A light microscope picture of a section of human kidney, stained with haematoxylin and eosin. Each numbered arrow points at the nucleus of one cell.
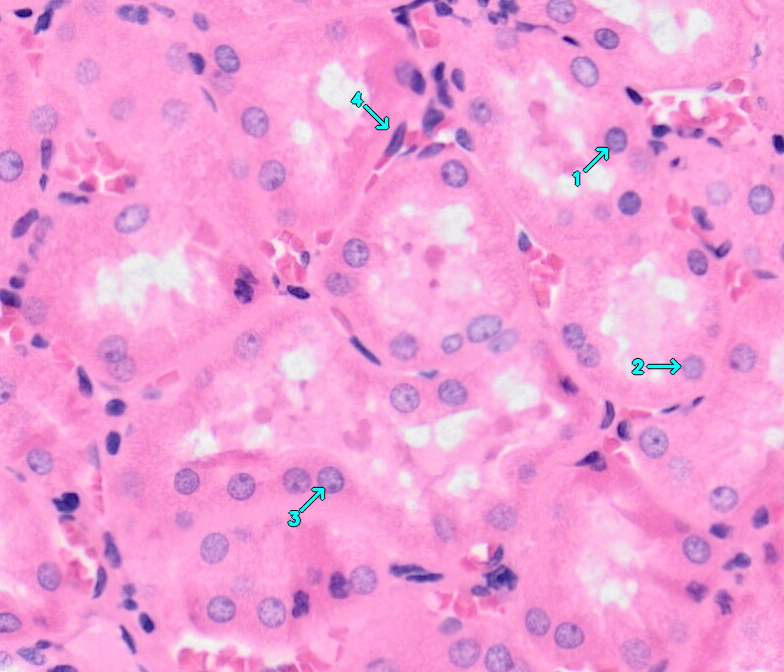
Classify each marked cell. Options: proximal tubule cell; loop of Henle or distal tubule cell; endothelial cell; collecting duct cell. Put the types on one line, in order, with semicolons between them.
proximal tubule cell; proximal tubule cell; proximal tubule cell; endothelial cell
